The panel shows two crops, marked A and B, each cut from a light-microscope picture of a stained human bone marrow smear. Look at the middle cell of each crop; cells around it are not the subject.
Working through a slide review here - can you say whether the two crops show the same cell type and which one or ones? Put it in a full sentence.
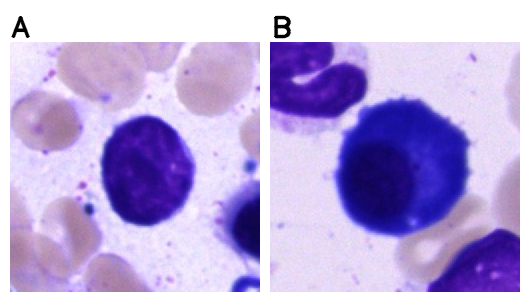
No, a lymphocyte is what crop A shows, and a plasma cell is what crop B shows.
